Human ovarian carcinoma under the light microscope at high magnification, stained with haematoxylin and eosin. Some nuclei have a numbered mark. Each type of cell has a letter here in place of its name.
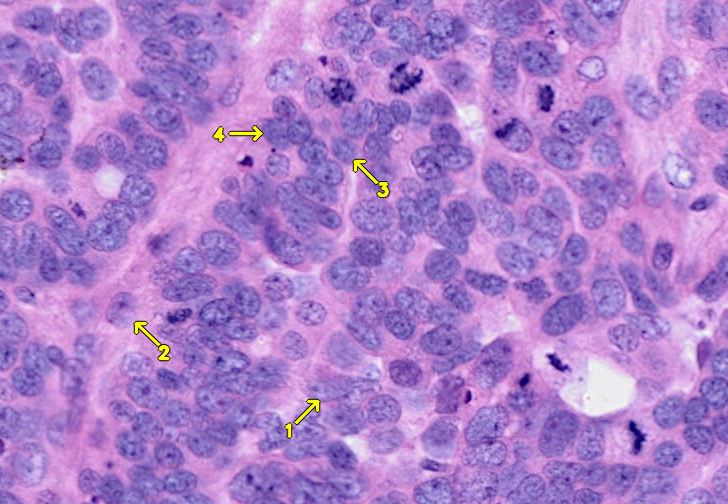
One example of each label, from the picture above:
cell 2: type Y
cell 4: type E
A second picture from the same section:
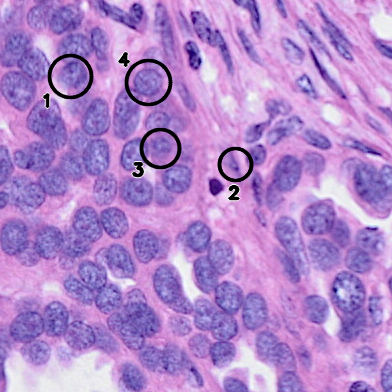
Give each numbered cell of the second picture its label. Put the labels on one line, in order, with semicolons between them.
type E; type Y; type E; type E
